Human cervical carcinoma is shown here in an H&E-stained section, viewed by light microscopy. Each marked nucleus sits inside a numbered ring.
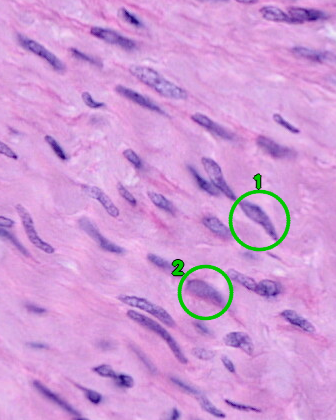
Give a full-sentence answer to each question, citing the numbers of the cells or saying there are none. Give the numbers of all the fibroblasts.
Only at number 1 is there a fibroblast among the marked cells.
